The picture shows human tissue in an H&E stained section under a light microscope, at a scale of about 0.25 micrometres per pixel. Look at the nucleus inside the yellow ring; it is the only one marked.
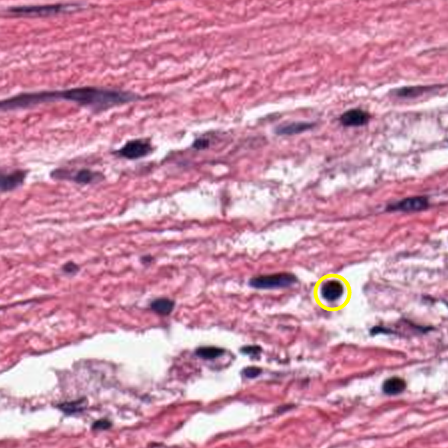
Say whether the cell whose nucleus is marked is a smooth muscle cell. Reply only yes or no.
no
